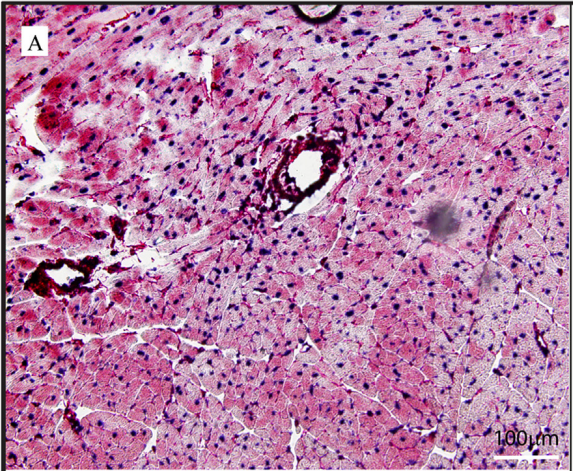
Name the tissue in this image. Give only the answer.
heart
